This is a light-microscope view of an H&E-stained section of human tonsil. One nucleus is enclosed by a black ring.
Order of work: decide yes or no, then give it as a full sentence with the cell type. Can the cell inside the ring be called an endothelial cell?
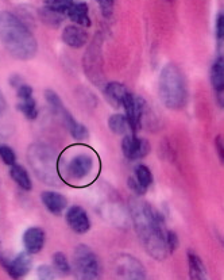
Yes, the cell inside the ring counts as an endothelial cell in this tissue.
